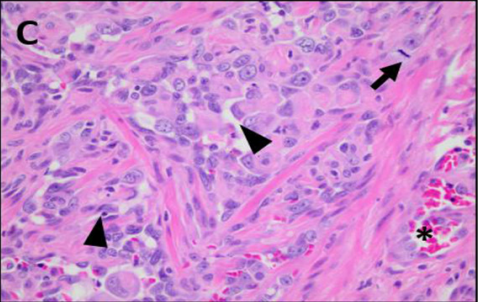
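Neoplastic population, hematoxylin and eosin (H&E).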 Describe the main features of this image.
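Disorganized sheets of plump, pleomorphic epithelioid tumour cells with moderate amounts of pink cytoplasm and large oval nuclei with visible nucleoli fill the field, separated by thin pink collagen strands. A mitotic figure with dark condensed chromatin is present, and the narrow slit-like channels between cells are mostly compressed, with one holding a cluster of red blood cells.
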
